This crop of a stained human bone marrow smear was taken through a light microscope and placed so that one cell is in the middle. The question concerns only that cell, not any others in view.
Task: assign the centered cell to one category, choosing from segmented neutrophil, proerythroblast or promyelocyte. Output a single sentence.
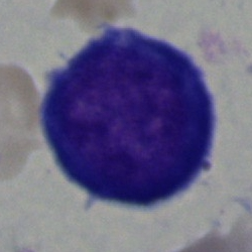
The cell at the centre of the field is a proerythroblast.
